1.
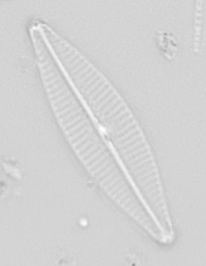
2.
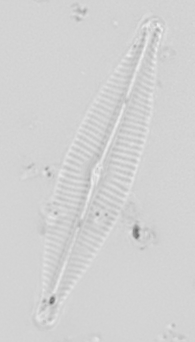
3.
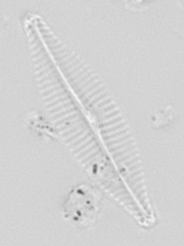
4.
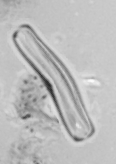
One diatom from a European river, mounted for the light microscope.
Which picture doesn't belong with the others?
Picture 4.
